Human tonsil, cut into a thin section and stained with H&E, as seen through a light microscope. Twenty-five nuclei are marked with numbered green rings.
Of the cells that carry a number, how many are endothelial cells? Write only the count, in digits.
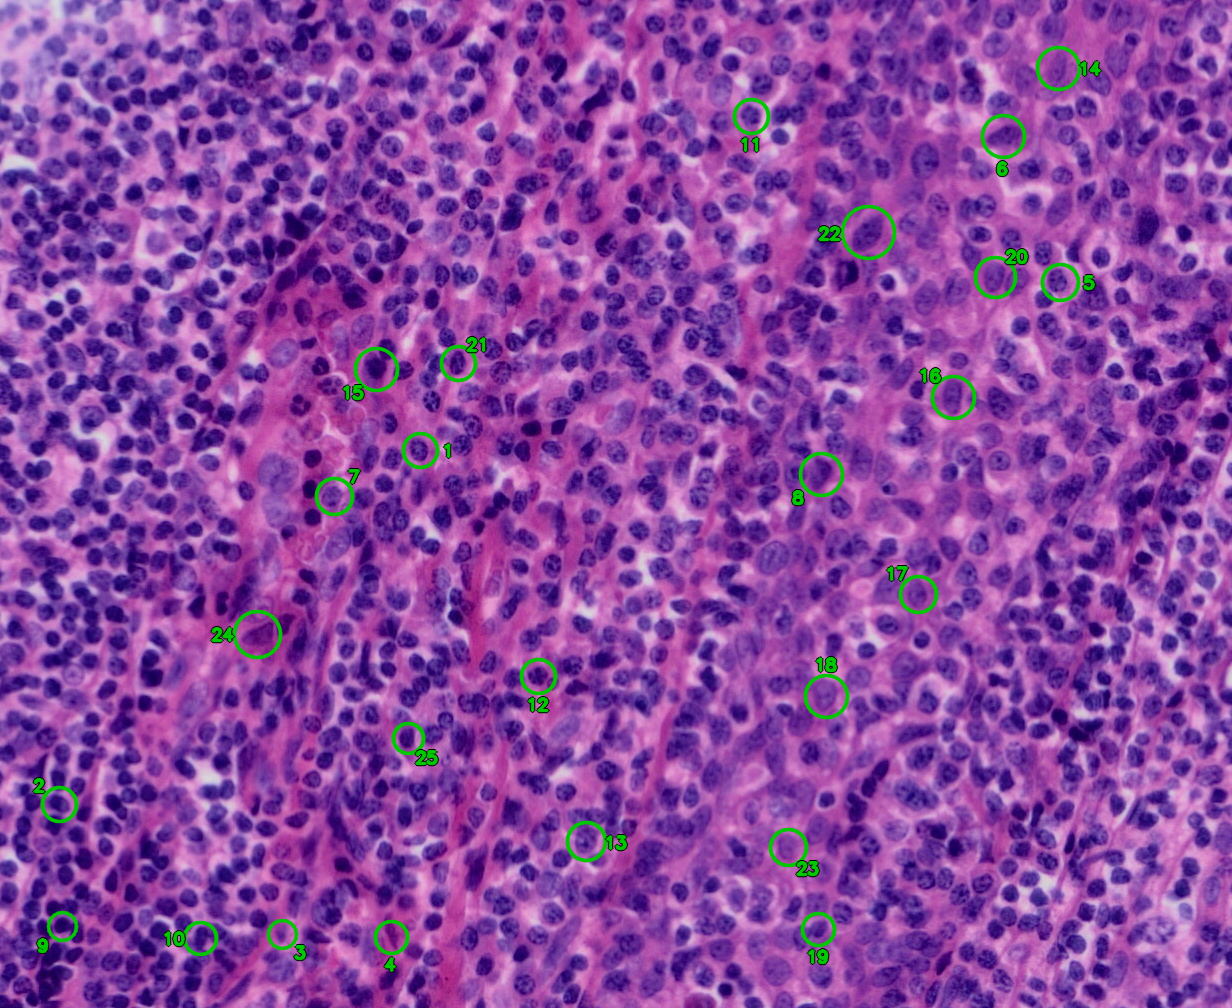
5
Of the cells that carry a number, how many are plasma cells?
7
